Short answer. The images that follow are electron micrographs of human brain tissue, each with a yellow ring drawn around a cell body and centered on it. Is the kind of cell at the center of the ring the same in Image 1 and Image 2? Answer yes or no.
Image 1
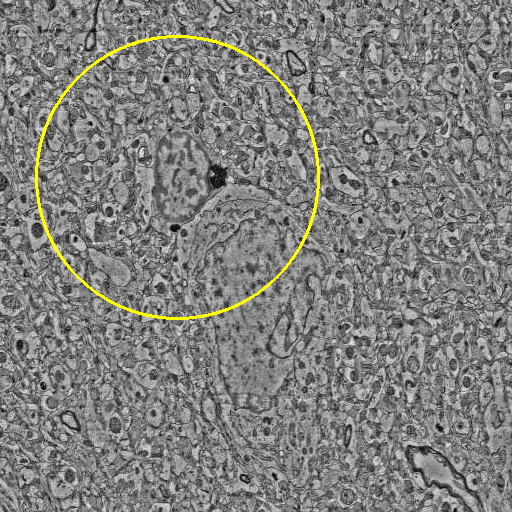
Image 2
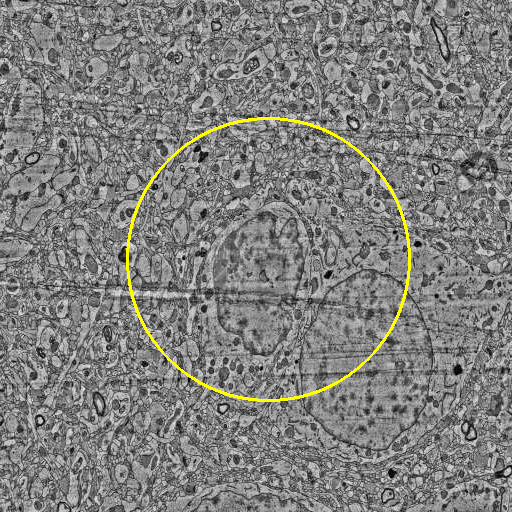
no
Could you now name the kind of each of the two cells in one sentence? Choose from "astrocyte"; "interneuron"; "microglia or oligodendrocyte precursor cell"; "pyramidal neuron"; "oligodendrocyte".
The first ring encloses an oligodendrocyte; the second ring encloses an interneuron.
